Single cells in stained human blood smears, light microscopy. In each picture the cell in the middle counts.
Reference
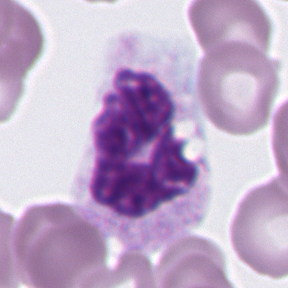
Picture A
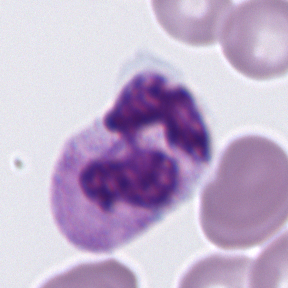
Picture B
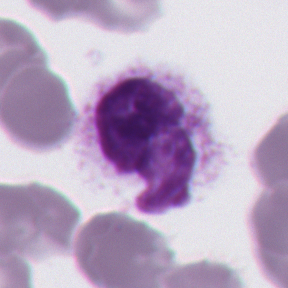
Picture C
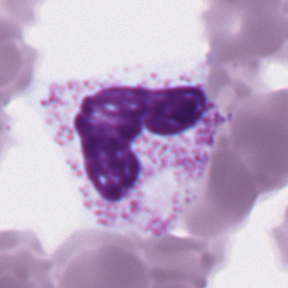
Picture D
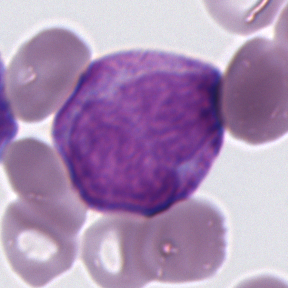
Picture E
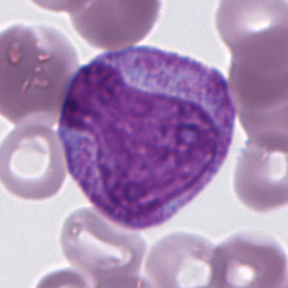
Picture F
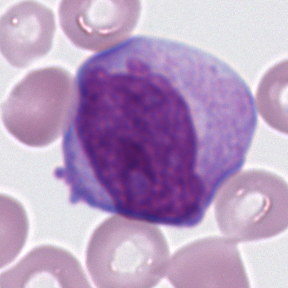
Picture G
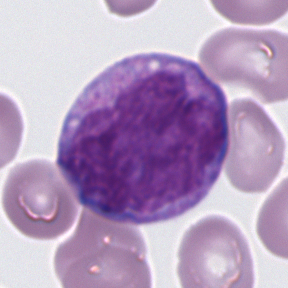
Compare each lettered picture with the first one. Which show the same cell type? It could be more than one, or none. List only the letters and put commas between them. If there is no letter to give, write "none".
A, B, C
